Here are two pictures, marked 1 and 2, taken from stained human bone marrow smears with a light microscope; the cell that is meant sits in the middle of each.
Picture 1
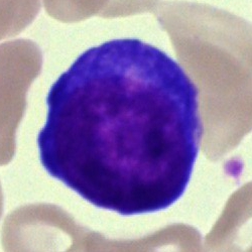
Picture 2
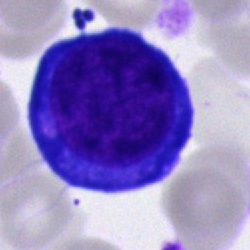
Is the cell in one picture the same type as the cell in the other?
yes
